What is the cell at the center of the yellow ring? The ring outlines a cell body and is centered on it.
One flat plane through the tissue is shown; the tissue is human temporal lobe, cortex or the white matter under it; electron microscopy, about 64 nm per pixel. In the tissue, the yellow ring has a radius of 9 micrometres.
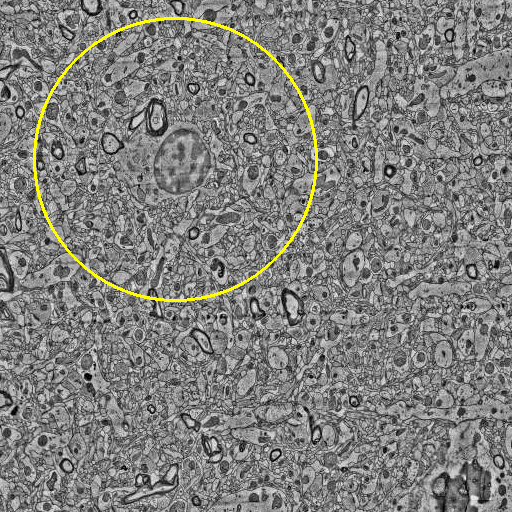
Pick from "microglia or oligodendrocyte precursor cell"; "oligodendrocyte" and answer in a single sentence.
The yellow ring is centered on an oligodendrocyte.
